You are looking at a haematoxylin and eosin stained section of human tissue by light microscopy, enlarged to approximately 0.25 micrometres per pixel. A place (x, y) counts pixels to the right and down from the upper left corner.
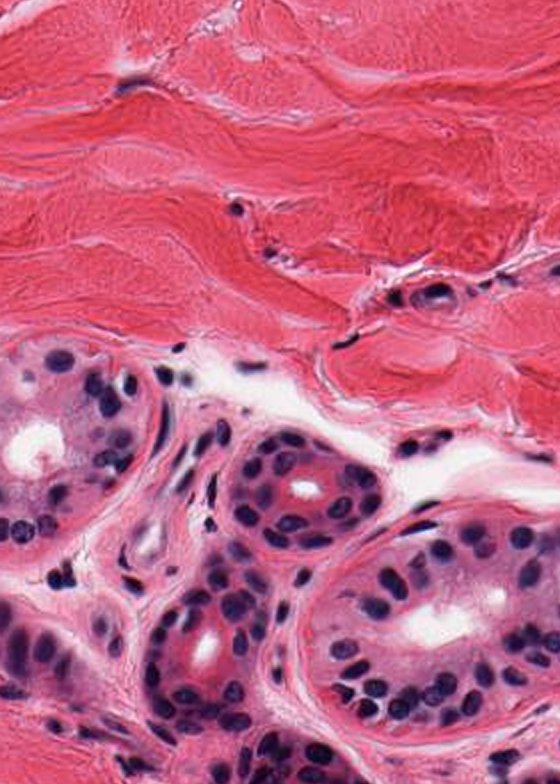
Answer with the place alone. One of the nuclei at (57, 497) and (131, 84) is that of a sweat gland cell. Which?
(57, 497)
